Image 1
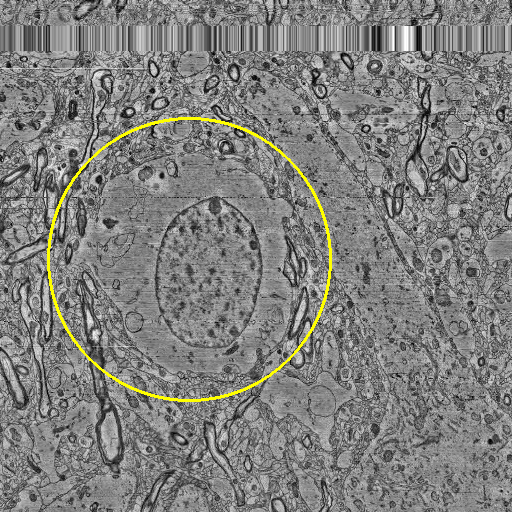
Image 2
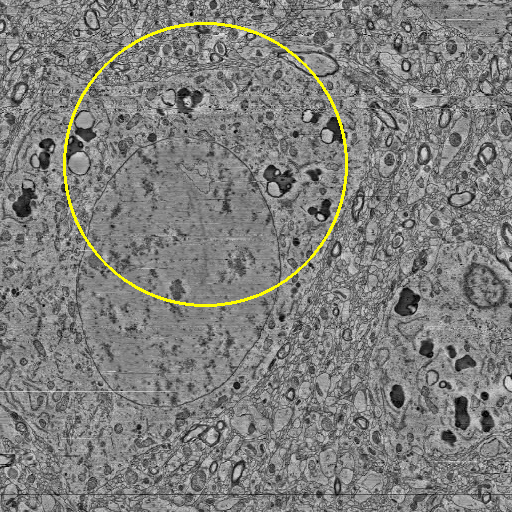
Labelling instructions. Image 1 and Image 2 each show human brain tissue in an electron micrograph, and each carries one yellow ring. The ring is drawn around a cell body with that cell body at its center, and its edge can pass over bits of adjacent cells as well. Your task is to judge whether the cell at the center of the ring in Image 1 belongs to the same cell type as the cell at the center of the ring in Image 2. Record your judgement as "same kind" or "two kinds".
two kinds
